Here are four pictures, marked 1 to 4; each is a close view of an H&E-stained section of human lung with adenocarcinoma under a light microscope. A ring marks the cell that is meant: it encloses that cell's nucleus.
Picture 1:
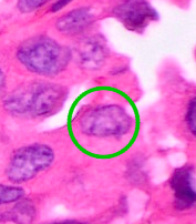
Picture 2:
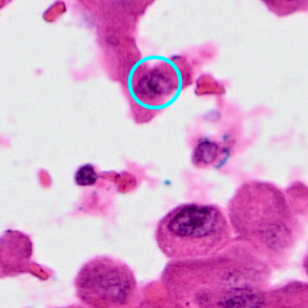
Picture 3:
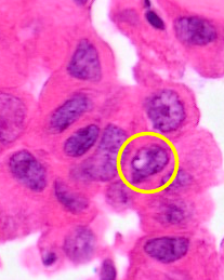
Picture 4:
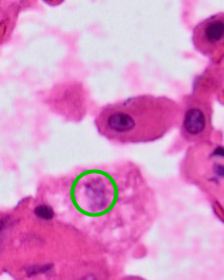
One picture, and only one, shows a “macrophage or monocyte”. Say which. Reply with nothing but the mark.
4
